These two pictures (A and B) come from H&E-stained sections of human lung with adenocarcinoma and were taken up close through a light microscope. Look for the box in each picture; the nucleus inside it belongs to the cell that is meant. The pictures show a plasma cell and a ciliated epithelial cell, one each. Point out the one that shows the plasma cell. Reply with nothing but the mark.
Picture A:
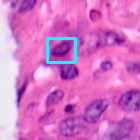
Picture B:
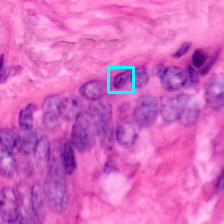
A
